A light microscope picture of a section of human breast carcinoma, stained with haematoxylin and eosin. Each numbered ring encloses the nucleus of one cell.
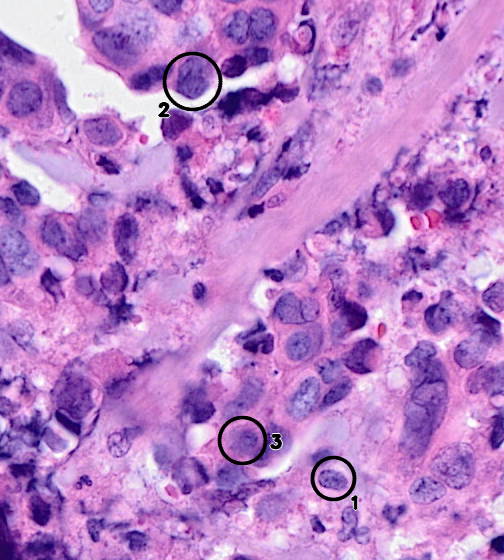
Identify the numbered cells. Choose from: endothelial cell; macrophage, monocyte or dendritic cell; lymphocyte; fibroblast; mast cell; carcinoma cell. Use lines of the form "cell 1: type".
cell 1: mast cell
cell 2: carcinoma cell
cell 3: carcinoma cell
